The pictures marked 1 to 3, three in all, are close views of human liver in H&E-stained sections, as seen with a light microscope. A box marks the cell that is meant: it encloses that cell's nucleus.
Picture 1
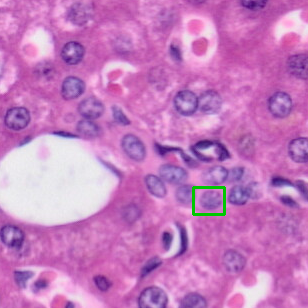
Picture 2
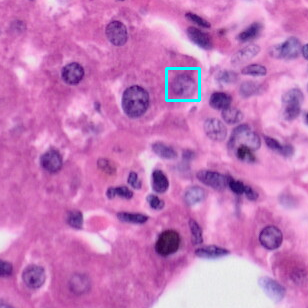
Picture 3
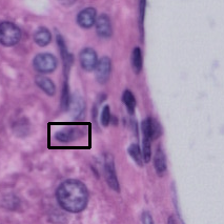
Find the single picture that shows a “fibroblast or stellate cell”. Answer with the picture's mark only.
3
